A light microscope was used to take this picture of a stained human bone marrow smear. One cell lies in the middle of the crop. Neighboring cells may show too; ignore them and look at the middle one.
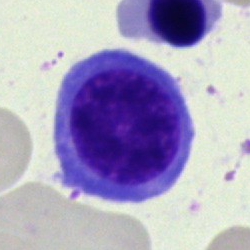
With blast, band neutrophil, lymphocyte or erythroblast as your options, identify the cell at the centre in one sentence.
In this smear crop, the middle cell is an erythroblast.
